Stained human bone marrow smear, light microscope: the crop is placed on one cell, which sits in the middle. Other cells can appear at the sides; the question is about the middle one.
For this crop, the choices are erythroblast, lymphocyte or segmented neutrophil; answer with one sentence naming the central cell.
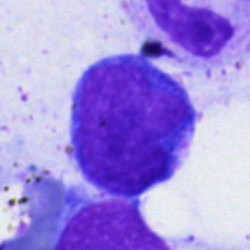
Classification of the middle cell gives a lymphocyte.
